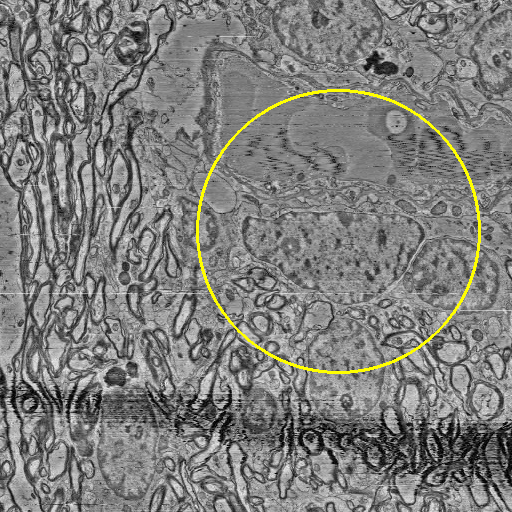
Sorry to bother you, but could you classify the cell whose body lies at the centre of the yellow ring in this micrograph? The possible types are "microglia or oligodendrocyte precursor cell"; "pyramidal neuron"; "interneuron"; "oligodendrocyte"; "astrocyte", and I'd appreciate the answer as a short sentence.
The ringed cell body is that of a microglial cell or oligodendrocyte precursor cell.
